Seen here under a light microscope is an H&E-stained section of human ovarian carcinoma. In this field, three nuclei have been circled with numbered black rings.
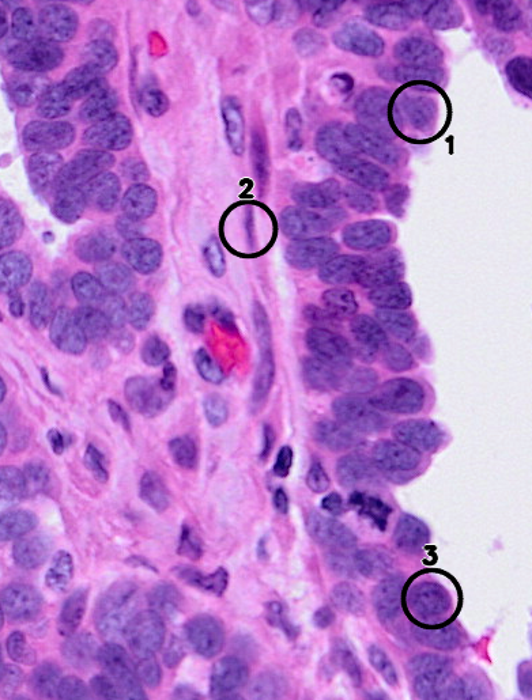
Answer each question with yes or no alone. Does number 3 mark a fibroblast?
no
